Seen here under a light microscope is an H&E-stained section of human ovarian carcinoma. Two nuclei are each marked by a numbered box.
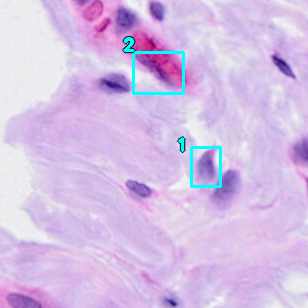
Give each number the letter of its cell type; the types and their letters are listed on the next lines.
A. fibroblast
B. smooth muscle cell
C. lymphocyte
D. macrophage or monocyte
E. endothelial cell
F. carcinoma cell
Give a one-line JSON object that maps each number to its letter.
{"1": "A", "2": "E"}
